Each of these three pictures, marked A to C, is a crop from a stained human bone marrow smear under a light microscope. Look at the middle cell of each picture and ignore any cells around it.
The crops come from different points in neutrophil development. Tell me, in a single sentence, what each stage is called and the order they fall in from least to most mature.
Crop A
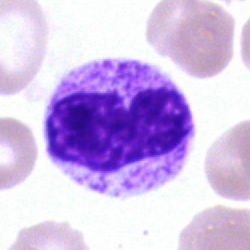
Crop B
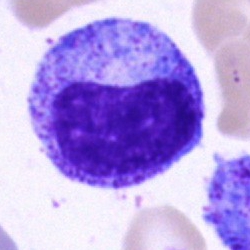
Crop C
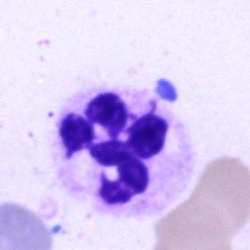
From youngest to most mature, the cells go crop B (a promyelocyte), crop A (a metamyelocyte) and crop C (a segmented neutrophil).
